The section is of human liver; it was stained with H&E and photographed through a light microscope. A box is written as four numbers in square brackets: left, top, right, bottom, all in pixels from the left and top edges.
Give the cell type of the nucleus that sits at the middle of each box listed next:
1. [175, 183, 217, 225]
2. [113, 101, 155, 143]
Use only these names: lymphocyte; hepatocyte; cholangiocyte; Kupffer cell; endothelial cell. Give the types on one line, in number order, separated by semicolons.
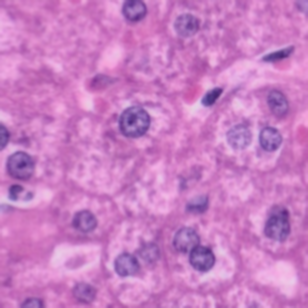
endothelial cell; hepatocyte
